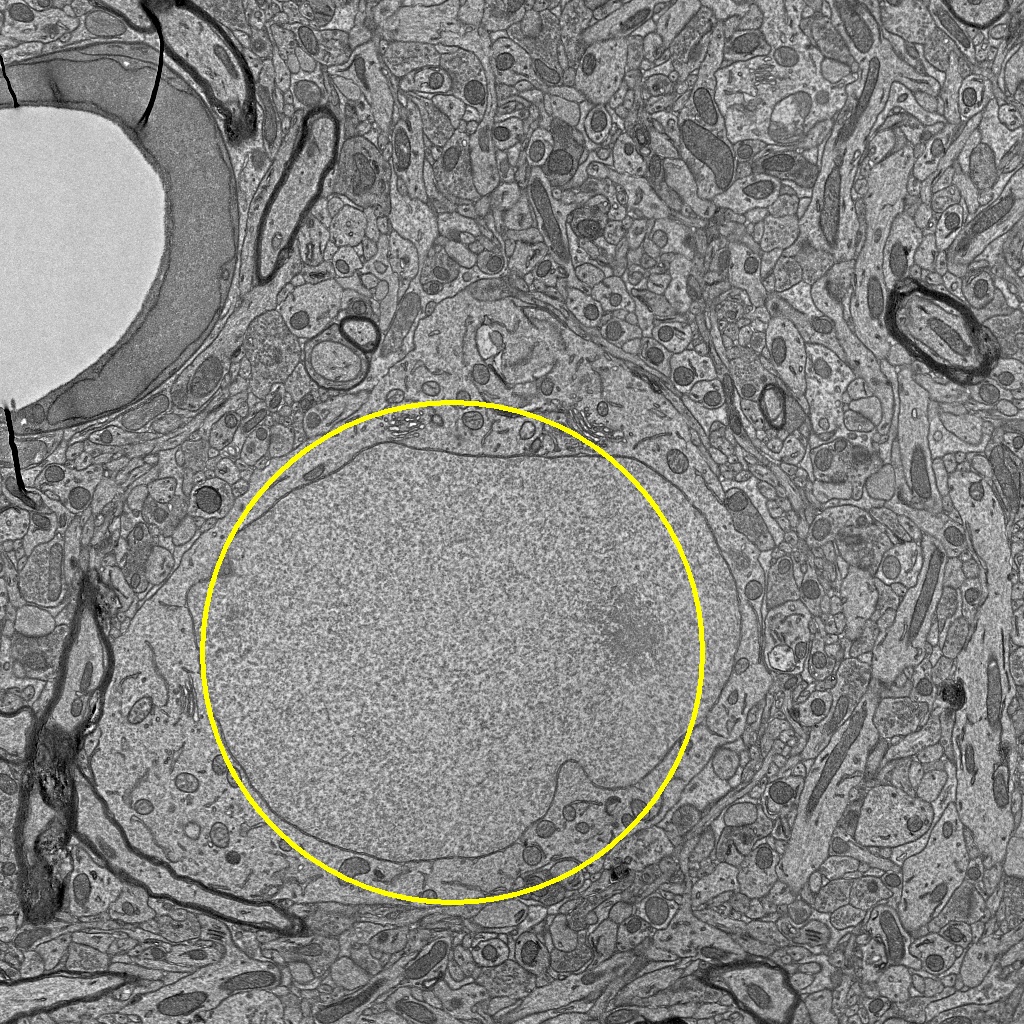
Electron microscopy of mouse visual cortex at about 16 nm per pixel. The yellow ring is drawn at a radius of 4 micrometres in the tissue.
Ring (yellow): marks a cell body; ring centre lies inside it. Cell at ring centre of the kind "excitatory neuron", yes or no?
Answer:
yes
